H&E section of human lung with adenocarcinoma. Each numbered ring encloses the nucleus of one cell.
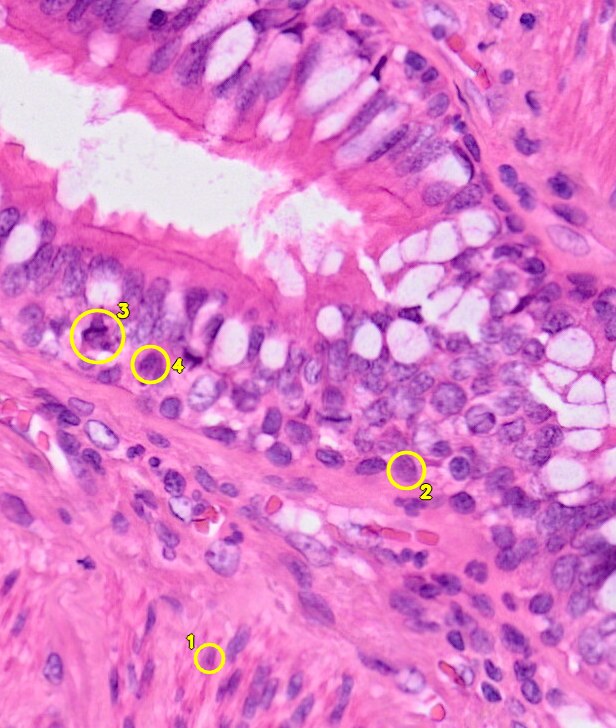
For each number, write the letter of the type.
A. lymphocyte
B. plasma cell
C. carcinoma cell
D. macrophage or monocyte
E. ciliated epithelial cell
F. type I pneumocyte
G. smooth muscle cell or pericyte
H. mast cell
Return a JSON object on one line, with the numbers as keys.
{"1": "G", "2": "E", "3": "E", "4": "E"}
